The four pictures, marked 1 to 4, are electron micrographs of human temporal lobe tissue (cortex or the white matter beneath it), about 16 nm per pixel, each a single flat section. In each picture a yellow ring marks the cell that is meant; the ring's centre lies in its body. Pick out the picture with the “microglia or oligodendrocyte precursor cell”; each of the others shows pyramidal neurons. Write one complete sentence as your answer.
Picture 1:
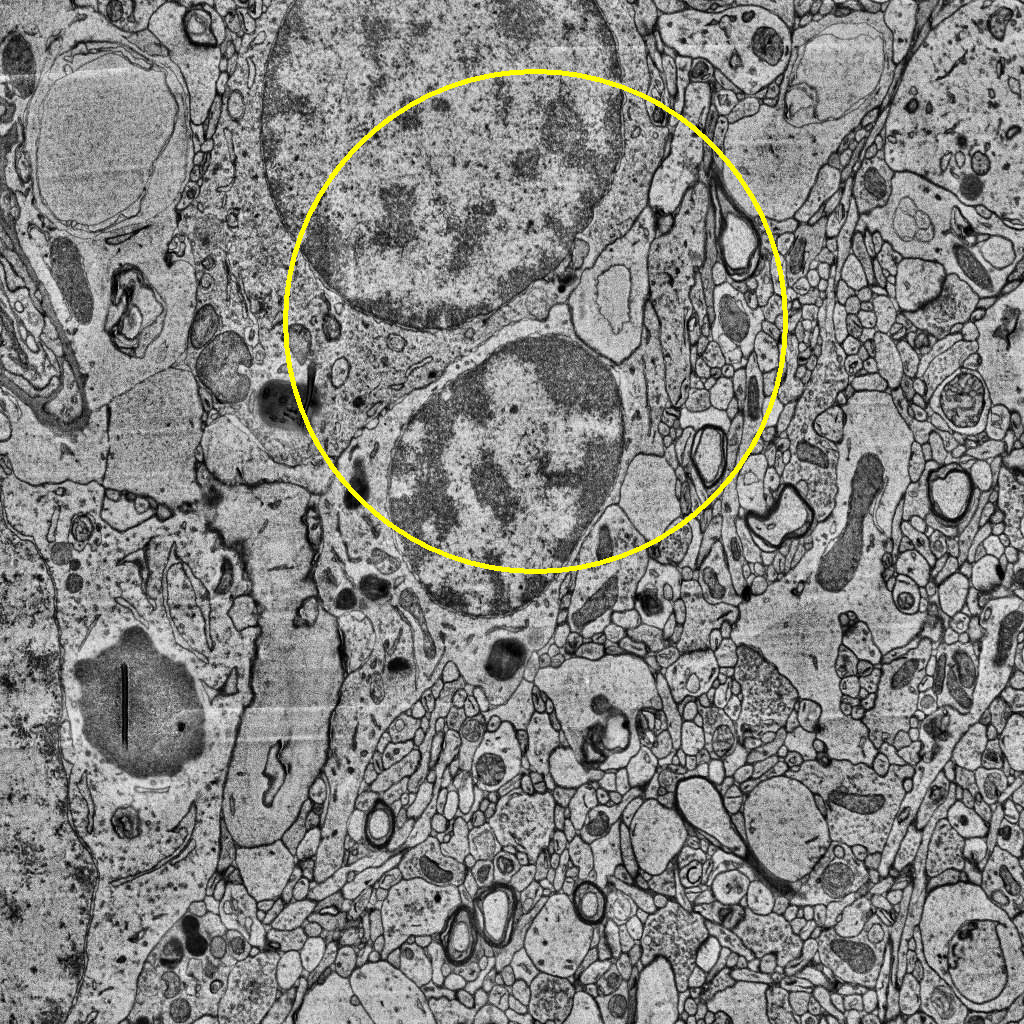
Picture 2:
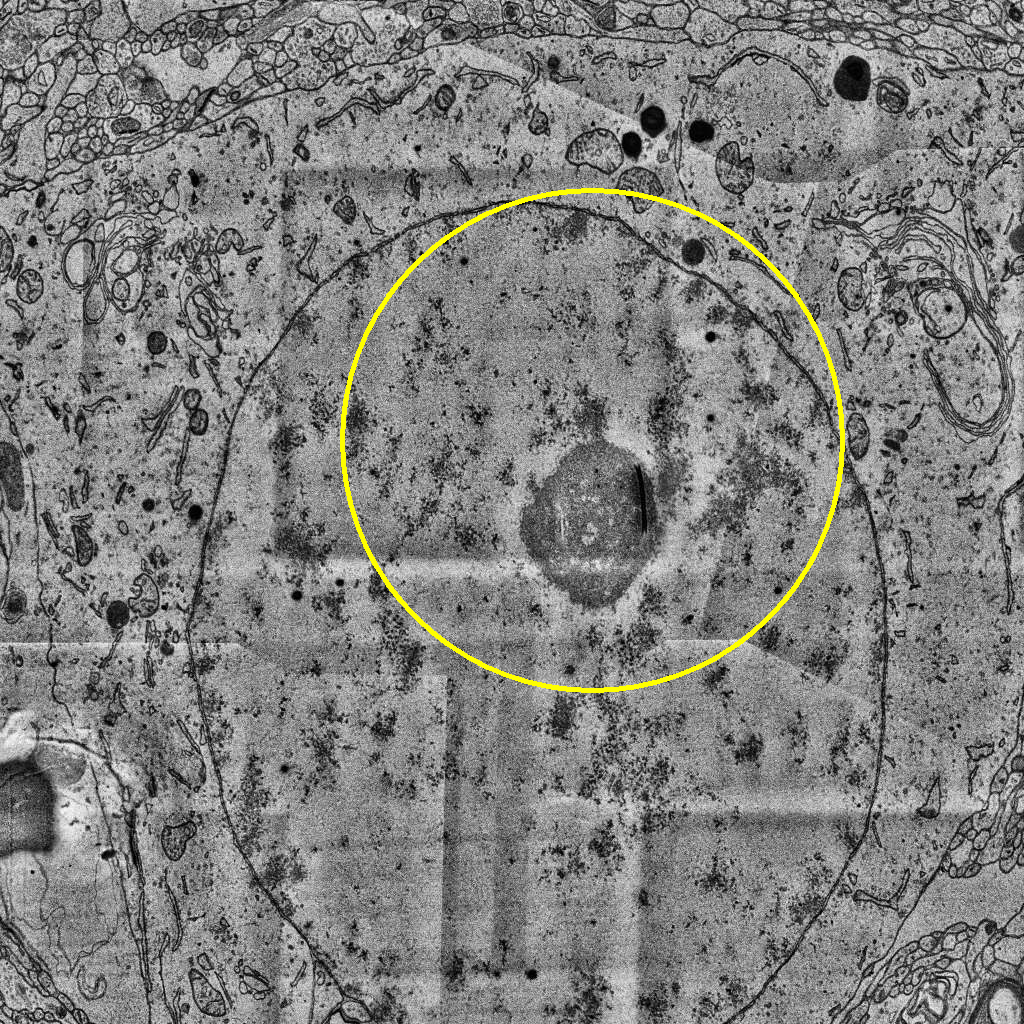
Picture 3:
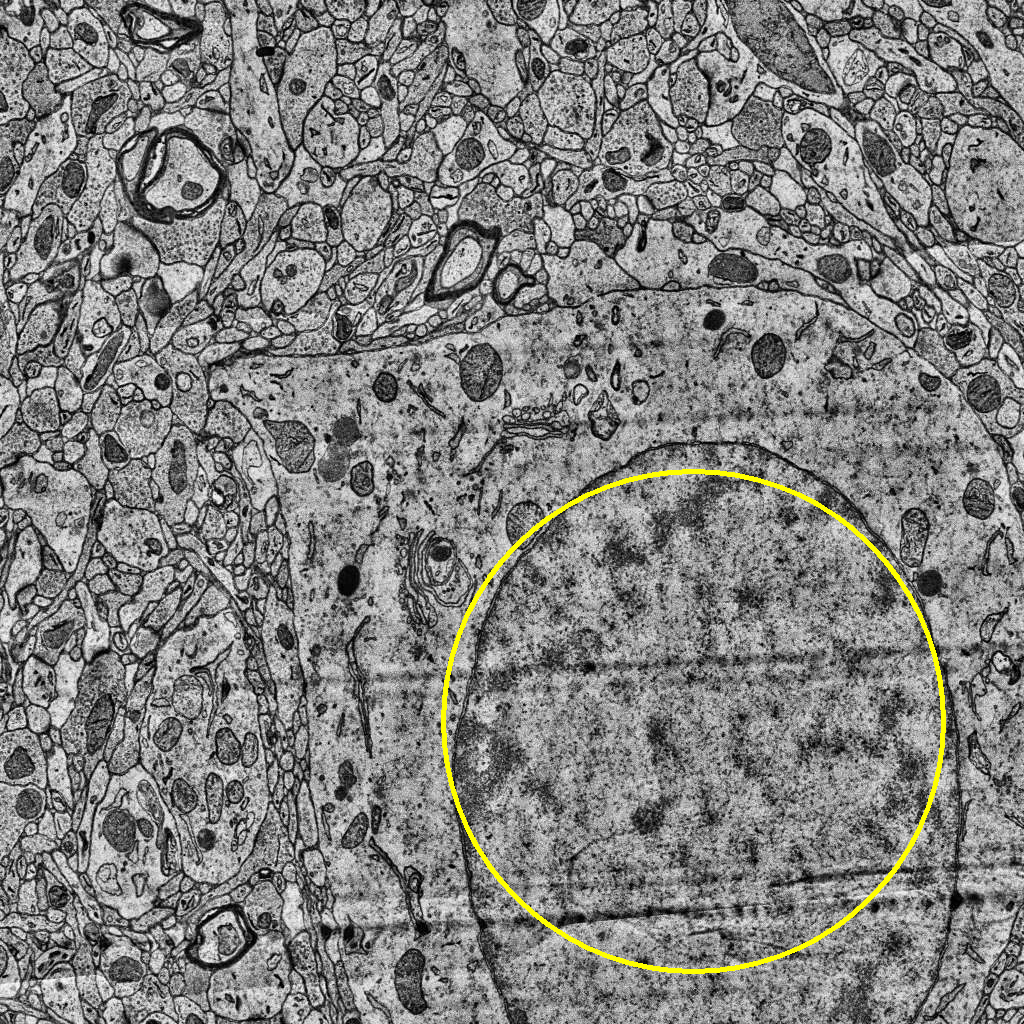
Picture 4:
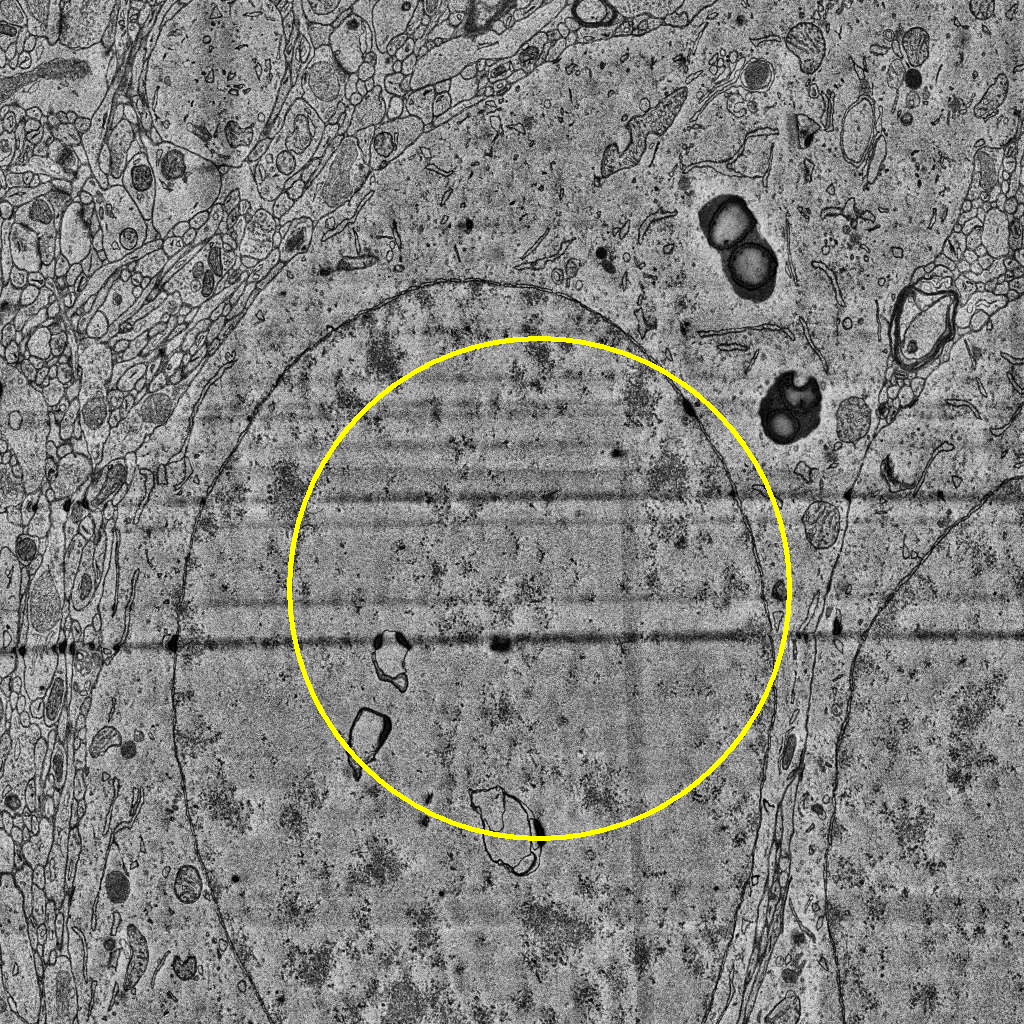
It is picture 1 that shows the “microglia or oligodendrocyte precursor cell”.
